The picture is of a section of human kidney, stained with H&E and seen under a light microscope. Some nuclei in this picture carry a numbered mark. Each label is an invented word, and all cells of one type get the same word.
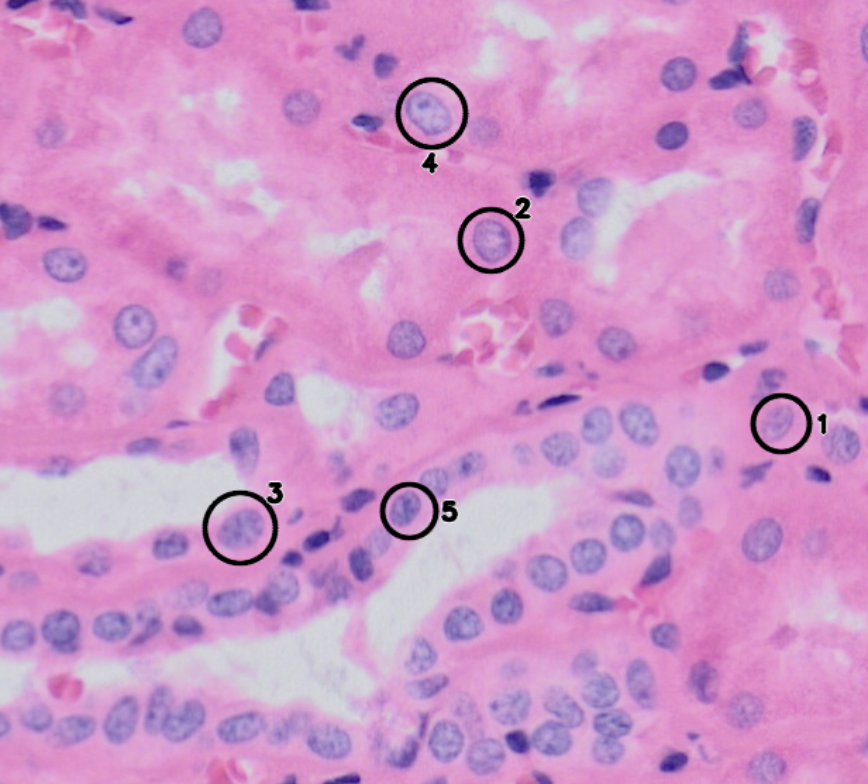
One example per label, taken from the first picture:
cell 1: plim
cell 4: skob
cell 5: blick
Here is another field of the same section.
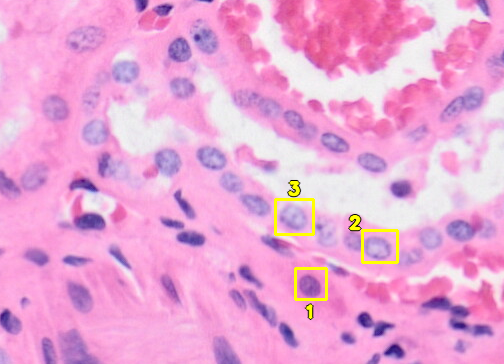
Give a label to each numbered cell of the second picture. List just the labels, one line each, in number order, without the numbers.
skob
blick
blick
